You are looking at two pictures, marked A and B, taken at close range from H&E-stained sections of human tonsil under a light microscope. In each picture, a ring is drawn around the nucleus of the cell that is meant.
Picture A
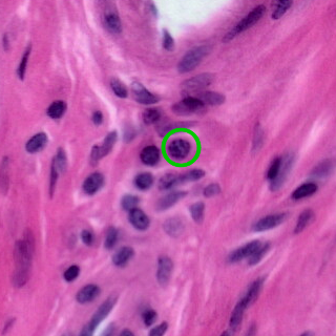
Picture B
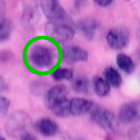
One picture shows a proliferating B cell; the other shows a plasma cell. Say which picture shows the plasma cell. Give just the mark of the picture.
A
